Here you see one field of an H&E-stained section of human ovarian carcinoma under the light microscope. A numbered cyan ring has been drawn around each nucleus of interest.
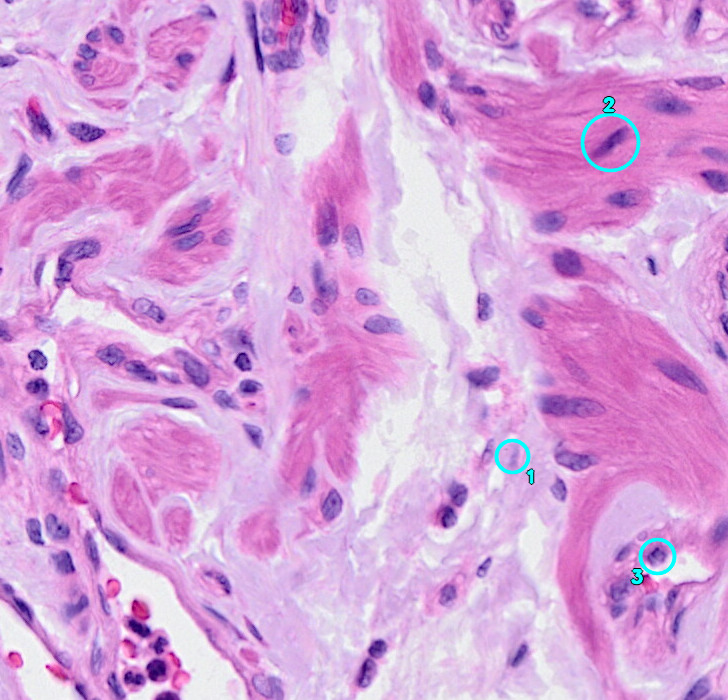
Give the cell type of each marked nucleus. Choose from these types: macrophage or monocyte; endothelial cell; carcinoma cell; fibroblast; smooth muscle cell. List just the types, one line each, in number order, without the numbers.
fibroblast
smooth muscle cell
endothelial cell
